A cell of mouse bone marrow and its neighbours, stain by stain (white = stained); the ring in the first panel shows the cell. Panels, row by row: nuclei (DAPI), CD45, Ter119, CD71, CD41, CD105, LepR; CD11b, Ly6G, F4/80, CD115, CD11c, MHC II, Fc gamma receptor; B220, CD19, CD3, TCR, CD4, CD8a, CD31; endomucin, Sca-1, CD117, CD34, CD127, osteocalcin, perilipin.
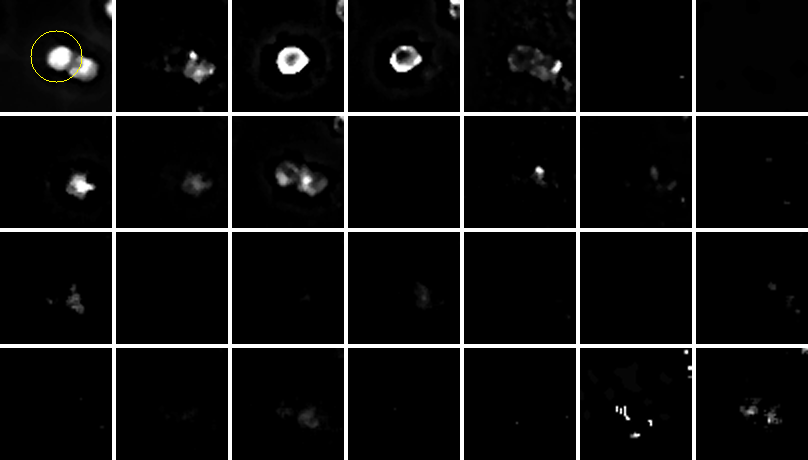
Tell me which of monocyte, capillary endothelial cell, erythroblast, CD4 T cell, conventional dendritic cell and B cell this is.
The picture shows an erythroblast.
